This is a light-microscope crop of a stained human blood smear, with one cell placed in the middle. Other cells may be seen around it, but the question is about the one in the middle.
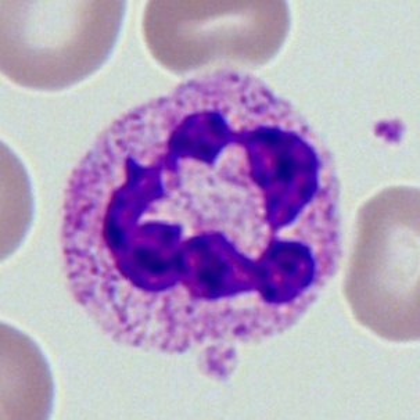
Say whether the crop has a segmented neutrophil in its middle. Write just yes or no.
yes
